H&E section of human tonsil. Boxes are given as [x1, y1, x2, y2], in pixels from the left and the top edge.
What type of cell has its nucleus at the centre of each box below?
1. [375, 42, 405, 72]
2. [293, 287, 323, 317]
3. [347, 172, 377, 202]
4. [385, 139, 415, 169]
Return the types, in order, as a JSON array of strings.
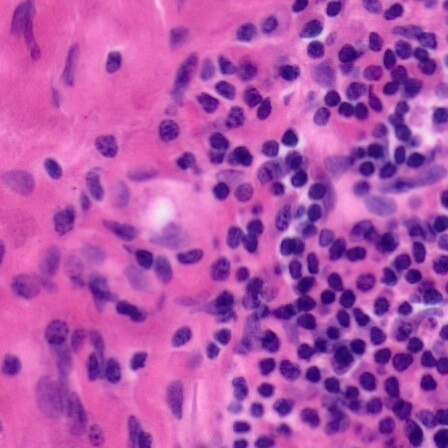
["small lymphocyte", "small lymphocyte", "endothelial cell", "small lymphocyte"]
